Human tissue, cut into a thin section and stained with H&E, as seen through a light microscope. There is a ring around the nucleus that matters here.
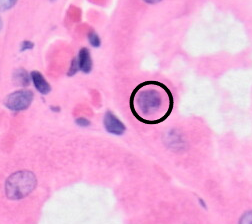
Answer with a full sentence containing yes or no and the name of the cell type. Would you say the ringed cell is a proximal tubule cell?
Yes, in short, the ringed cell is a proximal tubule cell here.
